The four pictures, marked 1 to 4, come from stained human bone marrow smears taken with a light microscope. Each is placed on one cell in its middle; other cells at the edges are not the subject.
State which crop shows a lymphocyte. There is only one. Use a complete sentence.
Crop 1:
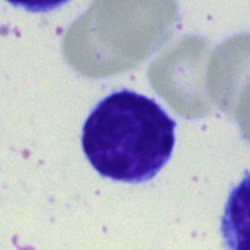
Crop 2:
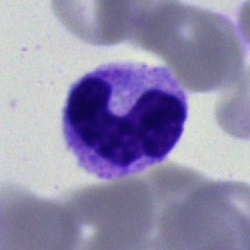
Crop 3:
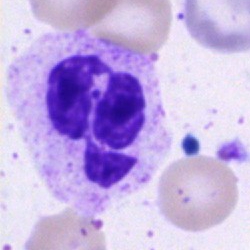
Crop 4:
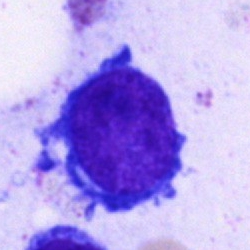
The crop that has a lymphocyte in the middle is crop 1.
